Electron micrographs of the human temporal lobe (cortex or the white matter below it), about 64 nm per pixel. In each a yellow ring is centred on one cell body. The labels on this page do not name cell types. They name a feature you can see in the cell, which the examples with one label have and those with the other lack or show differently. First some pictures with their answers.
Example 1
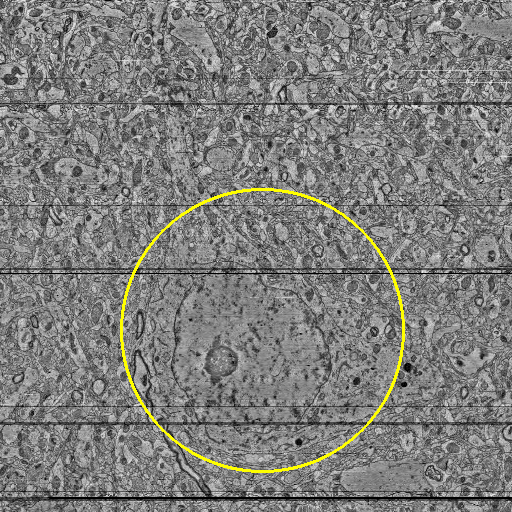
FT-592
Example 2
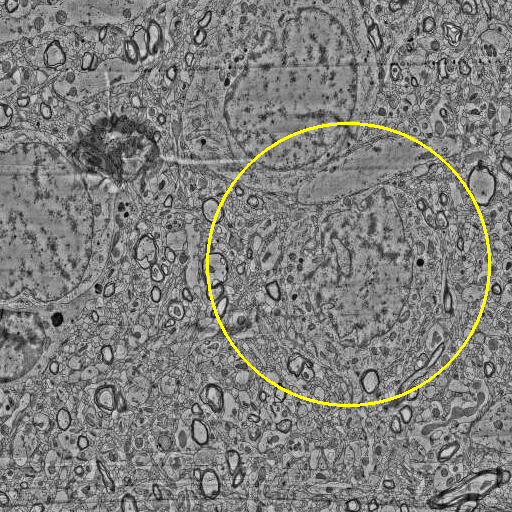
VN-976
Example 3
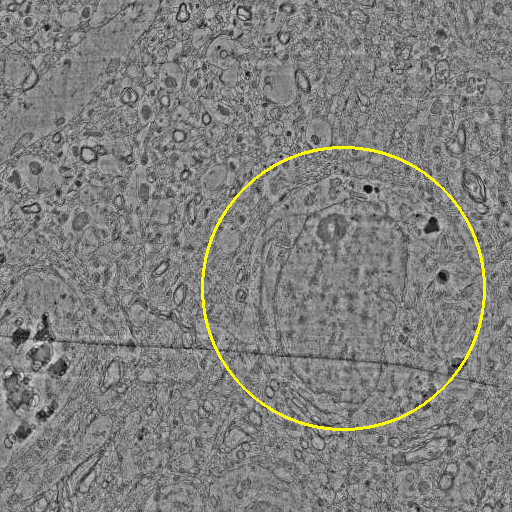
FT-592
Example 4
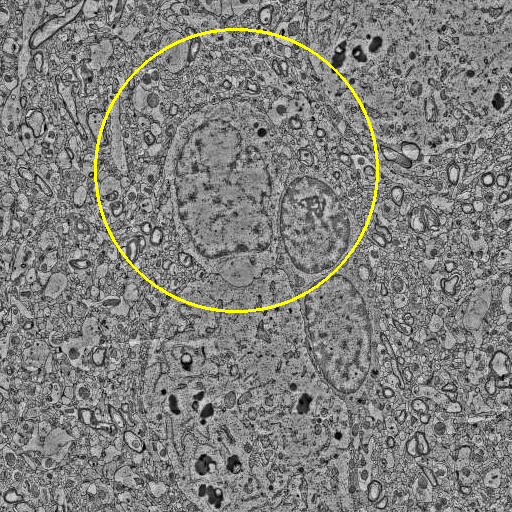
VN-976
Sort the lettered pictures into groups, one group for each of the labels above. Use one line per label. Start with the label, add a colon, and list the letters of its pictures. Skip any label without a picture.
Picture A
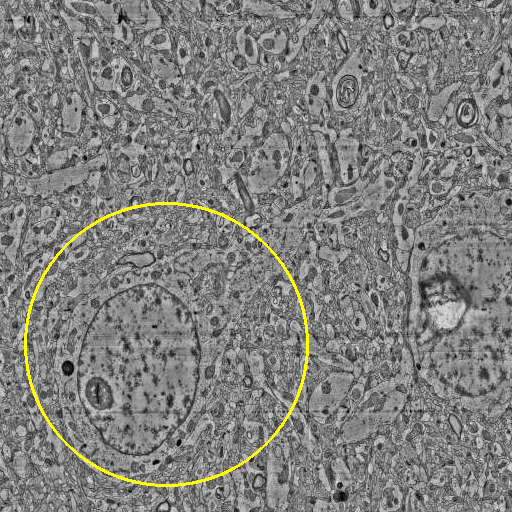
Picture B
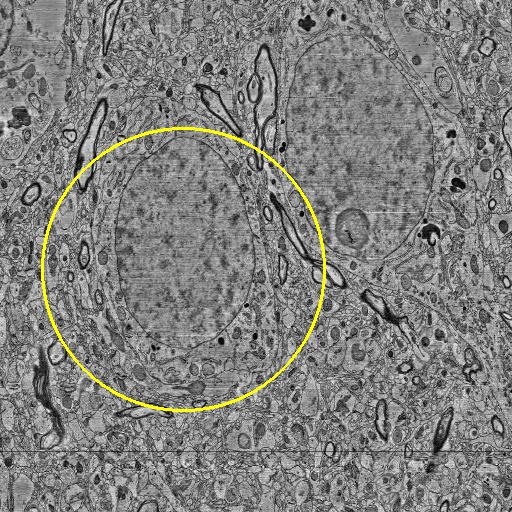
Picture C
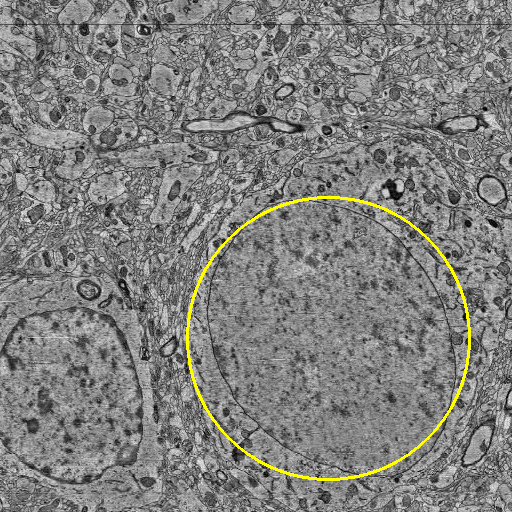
FT-592: A
VN-976: B, C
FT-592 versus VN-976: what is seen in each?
Seen in FT-592: nucleolus seen; seen in VN-976: no nucleolus seen.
